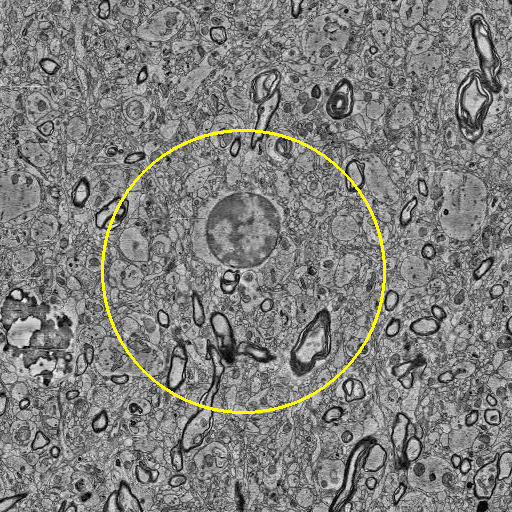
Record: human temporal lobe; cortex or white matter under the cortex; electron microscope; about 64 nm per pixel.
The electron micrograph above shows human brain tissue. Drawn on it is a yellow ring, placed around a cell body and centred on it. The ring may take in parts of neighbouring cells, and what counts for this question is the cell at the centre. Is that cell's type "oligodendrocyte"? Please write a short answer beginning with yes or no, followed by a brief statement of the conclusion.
No, its type is another one.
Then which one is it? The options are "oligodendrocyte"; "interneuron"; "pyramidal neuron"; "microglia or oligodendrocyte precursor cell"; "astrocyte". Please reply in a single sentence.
It is a microglial cell or oligodendrocyte precursor cell at the centre of the ring.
